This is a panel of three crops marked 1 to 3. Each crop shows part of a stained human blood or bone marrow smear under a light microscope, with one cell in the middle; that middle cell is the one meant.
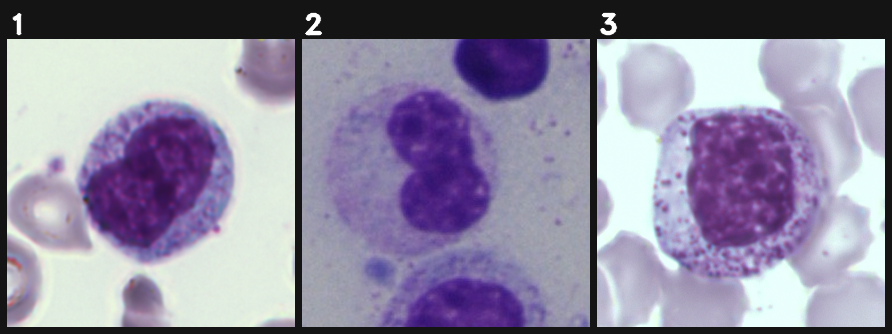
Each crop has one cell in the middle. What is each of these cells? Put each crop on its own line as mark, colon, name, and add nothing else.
1: metamyelocyte
2: metamyelocyte
3: myelocyte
